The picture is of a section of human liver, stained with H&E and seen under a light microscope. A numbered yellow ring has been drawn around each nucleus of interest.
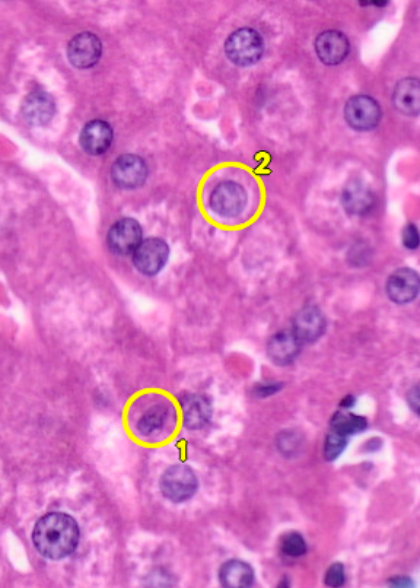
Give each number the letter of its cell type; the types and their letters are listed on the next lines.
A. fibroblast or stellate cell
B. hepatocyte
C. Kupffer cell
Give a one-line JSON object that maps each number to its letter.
{"1": "A", "2": "B"}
